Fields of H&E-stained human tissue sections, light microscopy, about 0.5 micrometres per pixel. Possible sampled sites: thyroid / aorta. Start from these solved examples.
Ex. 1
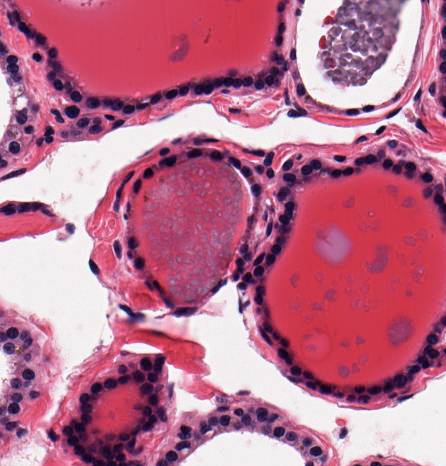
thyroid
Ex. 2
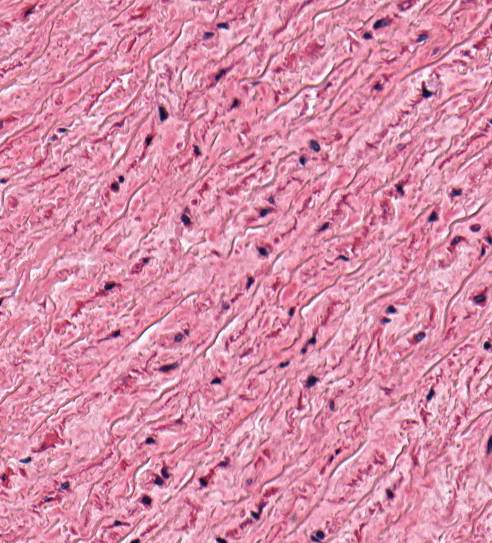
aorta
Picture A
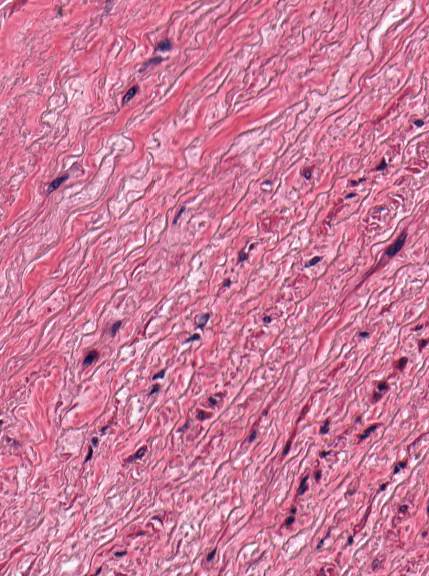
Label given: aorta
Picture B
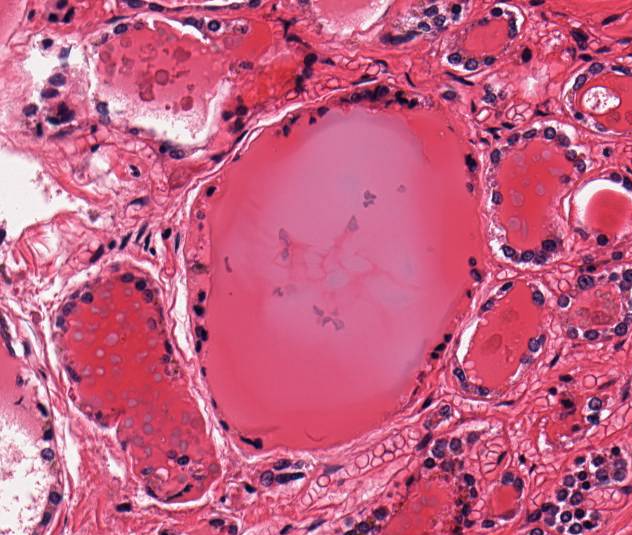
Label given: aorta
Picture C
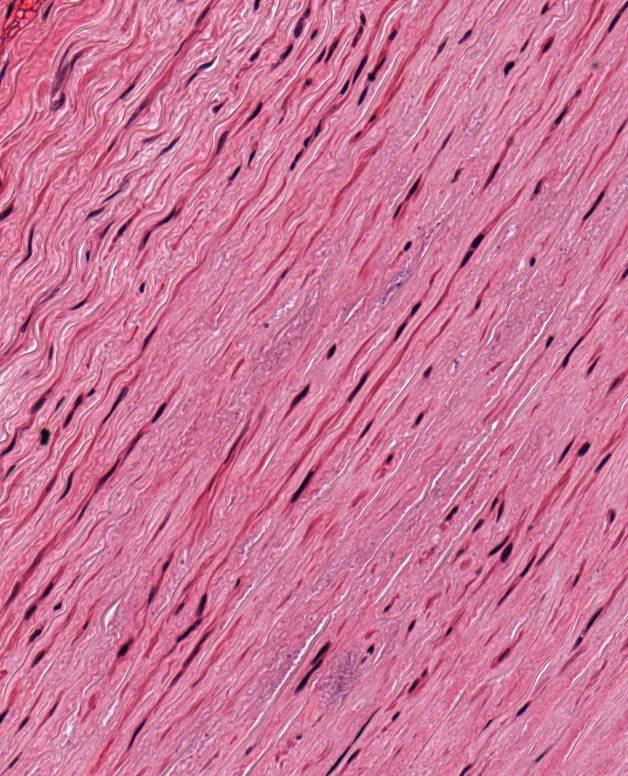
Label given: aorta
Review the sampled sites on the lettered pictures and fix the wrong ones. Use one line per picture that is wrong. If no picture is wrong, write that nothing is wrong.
B is labelled aorta; correct label: thyroid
